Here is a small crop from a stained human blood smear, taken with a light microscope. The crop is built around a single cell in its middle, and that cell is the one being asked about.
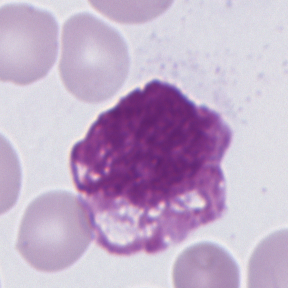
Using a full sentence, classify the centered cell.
Located at the centre of the crop is a smudge cell.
